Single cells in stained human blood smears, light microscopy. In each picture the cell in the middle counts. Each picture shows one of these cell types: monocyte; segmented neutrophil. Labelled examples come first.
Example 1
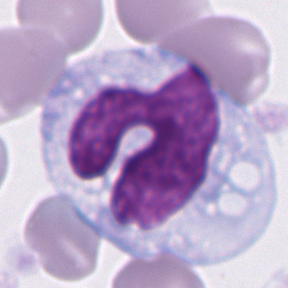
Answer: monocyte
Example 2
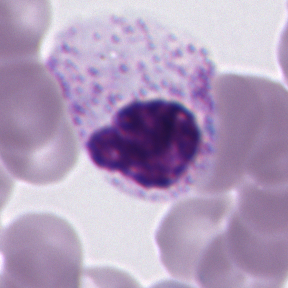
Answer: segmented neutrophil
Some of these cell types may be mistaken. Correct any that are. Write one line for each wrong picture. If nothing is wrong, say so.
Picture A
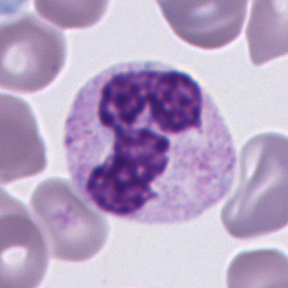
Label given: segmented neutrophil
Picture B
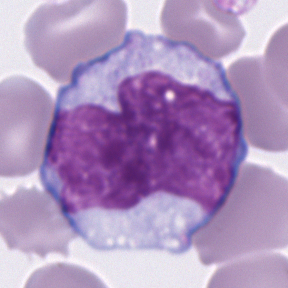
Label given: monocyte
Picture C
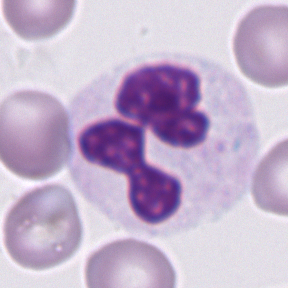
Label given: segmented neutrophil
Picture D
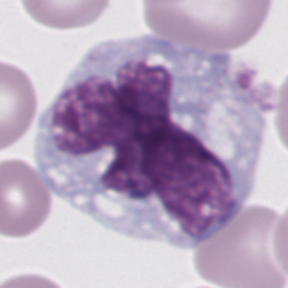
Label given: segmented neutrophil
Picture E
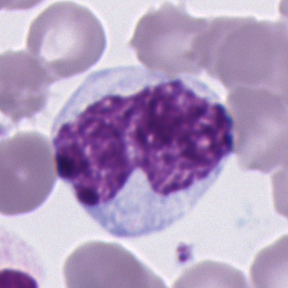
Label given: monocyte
D should be monocyte, not segmented neutrophil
